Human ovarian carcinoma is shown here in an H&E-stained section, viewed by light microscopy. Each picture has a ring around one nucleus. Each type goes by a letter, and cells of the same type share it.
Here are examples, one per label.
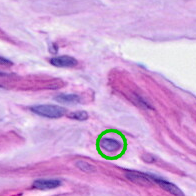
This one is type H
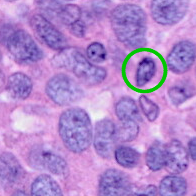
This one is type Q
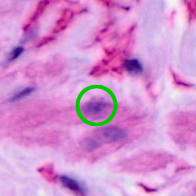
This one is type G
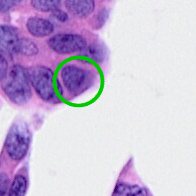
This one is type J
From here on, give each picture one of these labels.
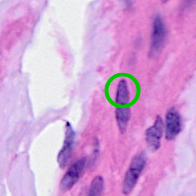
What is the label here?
type G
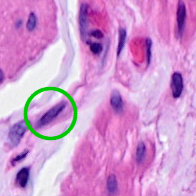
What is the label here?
type H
